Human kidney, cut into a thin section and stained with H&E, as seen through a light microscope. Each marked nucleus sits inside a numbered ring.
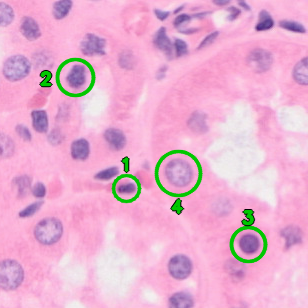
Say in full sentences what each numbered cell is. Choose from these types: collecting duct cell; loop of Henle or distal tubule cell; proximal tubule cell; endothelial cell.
Cell 1 is an endothelial cell, cell 2 is a loop of Henle or distal tubule cell, cell 3 is a proximal tubule cell and cell 4 is a proximal tubule cell.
